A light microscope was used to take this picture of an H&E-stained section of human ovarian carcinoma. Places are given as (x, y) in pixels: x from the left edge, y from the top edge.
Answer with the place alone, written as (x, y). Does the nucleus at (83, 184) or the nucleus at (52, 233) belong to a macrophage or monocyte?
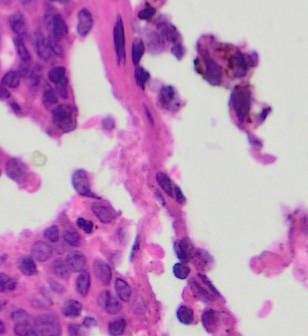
(83, 184)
